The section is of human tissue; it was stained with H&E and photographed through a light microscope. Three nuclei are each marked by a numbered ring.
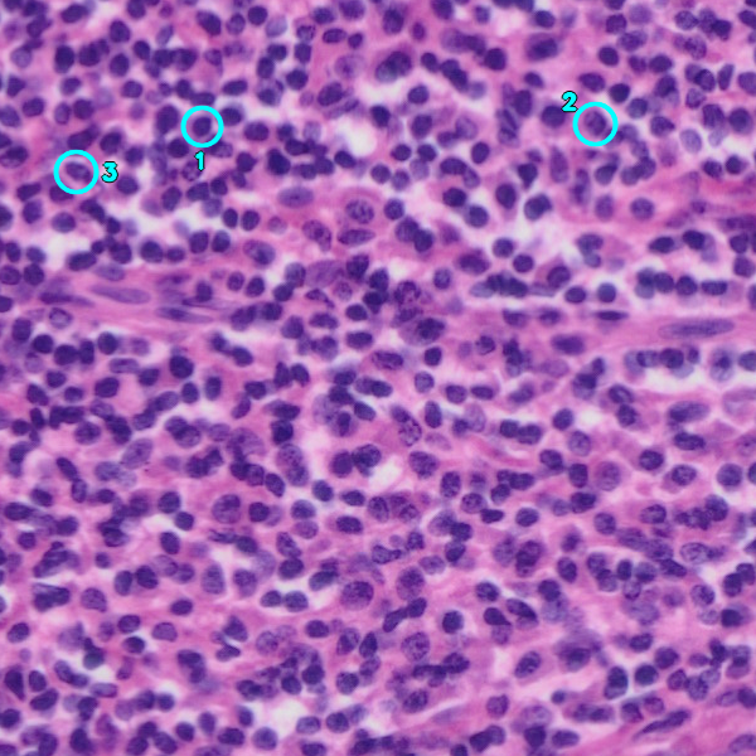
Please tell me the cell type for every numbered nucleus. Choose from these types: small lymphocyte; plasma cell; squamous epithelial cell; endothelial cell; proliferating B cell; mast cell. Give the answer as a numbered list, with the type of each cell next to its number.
1. small lymphocyte
2. plasma cell
3. small lymphocyte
